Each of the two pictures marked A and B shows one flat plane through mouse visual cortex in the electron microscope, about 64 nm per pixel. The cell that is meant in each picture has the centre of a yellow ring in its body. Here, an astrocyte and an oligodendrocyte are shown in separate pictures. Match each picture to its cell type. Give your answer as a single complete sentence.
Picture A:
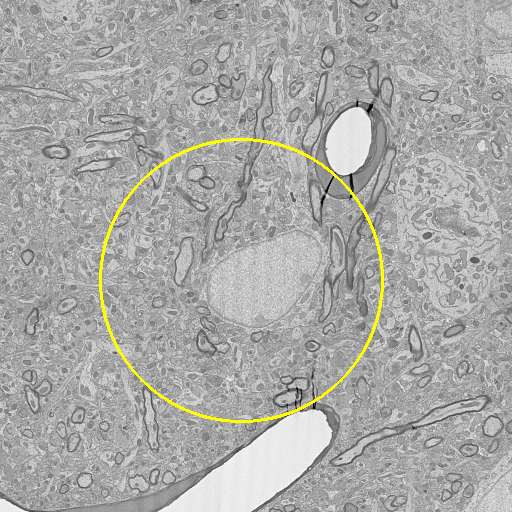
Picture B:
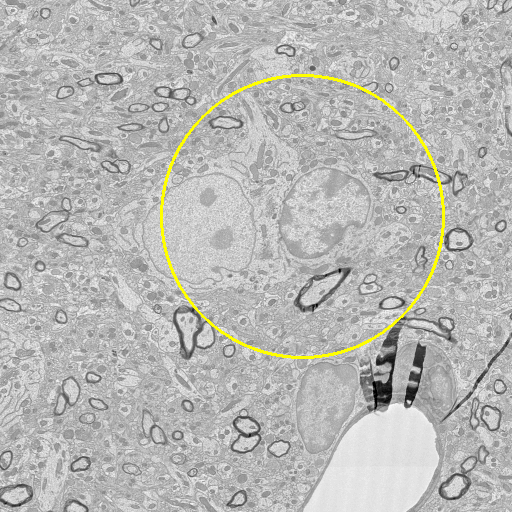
In picture A the cell is an astrocyte; in picture B, an oligodendrocyte.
